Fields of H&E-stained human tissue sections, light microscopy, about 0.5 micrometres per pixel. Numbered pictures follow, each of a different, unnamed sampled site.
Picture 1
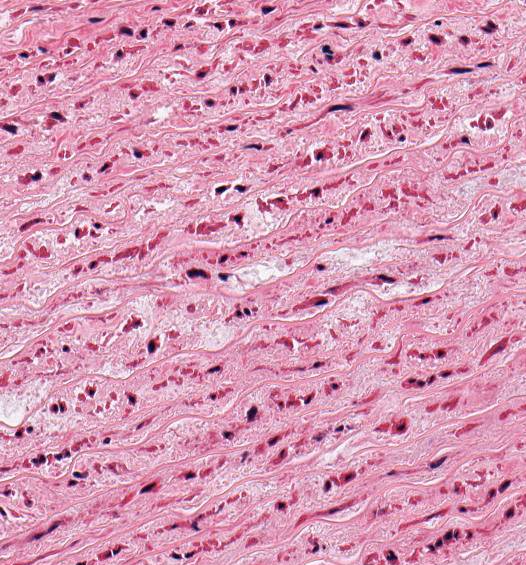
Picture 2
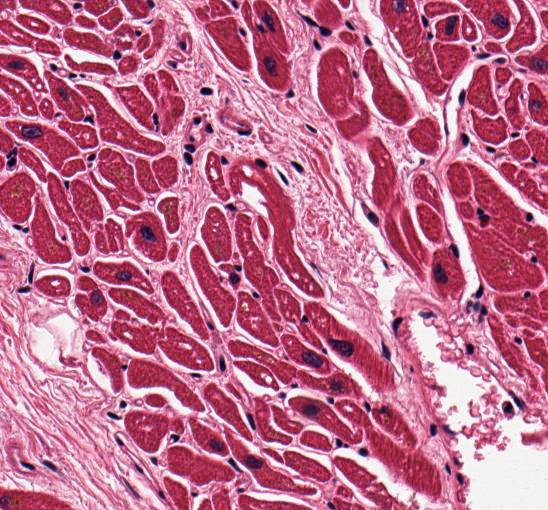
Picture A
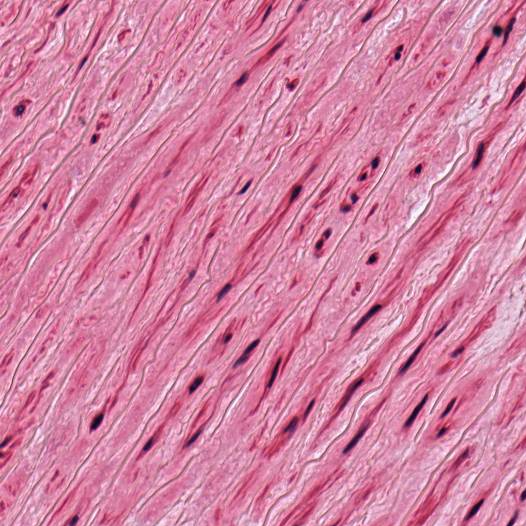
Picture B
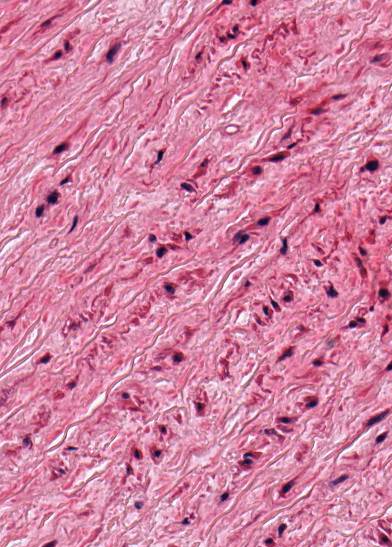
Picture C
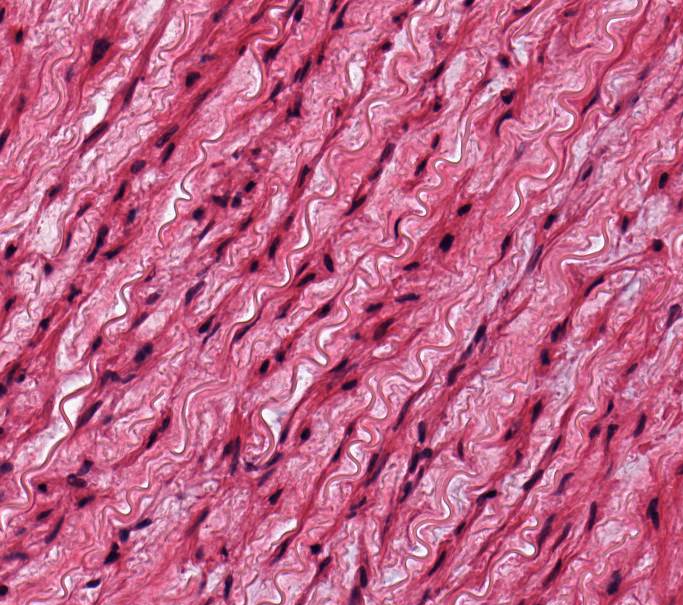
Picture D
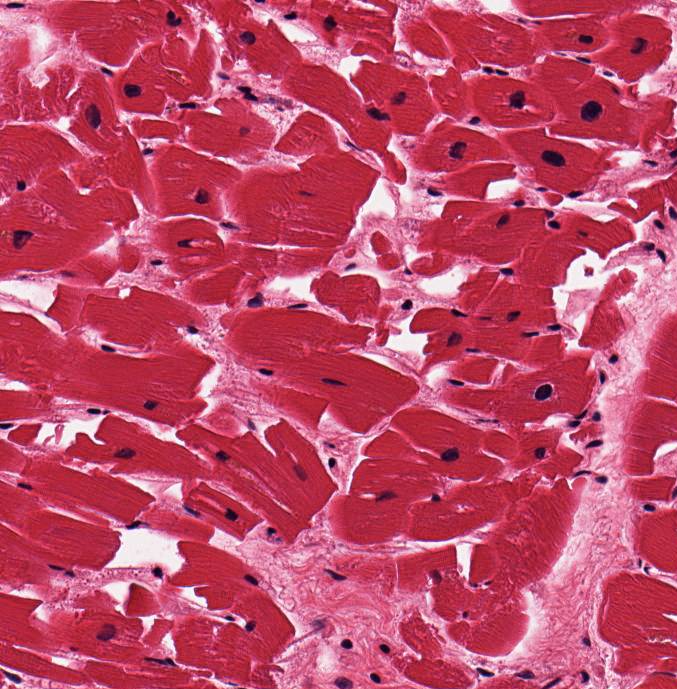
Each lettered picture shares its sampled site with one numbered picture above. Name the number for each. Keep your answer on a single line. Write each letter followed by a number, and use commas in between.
A 1, B 1, C 1, D 2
